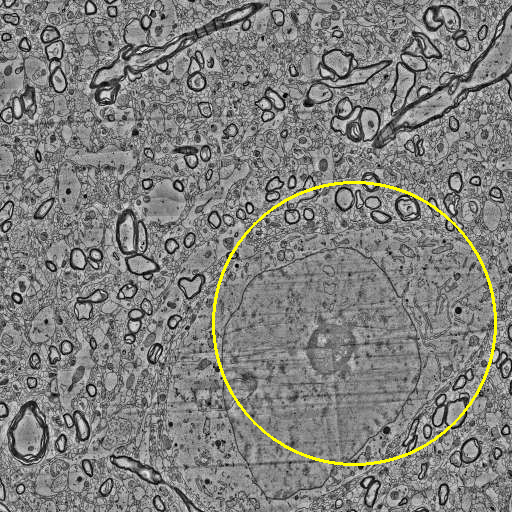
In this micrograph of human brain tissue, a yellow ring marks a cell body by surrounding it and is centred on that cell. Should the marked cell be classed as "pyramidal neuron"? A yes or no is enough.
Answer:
yes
